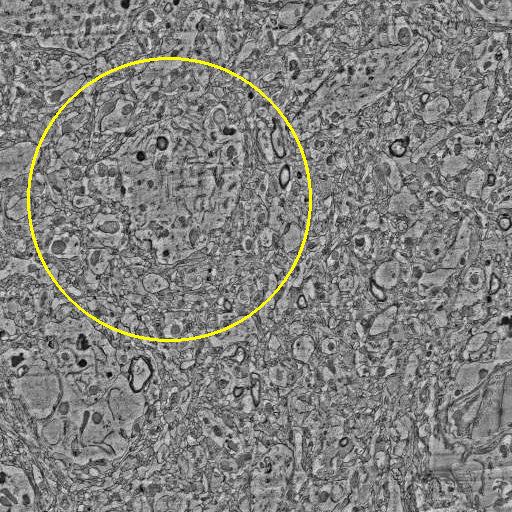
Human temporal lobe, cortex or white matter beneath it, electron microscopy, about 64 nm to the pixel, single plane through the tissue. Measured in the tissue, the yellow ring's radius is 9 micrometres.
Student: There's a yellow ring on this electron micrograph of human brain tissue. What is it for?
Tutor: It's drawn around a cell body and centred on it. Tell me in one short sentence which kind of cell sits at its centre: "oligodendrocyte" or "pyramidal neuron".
The cell at the centre of the ring is a pyramidal neuron.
